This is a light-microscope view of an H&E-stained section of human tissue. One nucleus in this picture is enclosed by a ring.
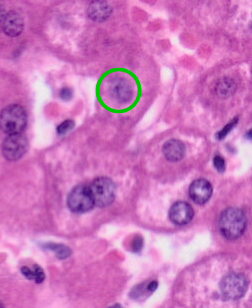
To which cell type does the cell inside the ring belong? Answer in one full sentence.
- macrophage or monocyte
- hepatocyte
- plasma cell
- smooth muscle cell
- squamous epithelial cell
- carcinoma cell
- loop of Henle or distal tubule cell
In this field of tissue, the cell inside the ring is a hepatocyte.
